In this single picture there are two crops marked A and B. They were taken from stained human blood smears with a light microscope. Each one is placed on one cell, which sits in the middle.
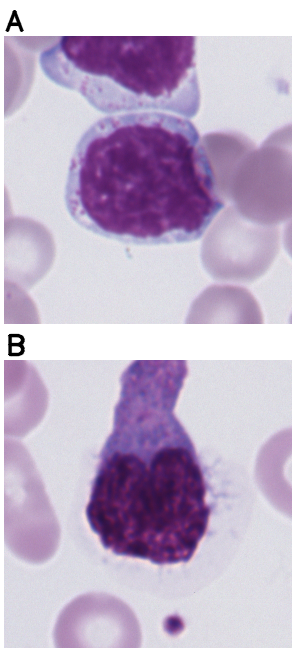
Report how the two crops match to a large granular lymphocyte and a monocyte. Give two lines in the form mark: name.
A: large granular lymphocyte
B: monocyte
